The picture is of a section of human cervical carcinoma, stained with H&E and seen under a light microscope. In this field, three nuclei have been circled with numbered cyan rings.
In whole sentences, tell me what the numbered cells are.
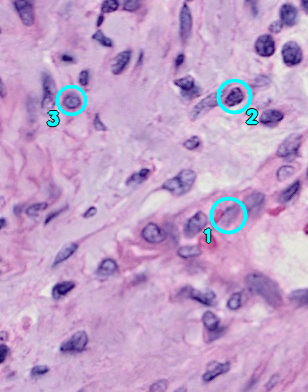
Cell 1 is an endothelial cell, cell 2 is a lymphocyte and cell 3 is a smooth muscle cell.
